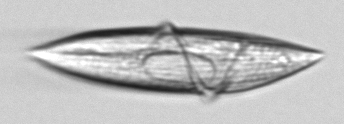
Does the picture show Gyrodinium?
Yes.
